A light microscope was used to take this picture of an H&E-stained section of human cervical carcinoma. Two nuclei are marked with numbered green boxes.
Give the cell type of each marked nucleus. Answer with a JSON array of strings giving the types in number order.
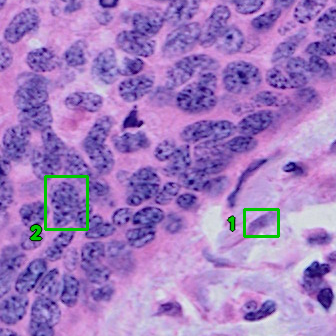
["fibroblast", "squamous carcinoma cell"]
